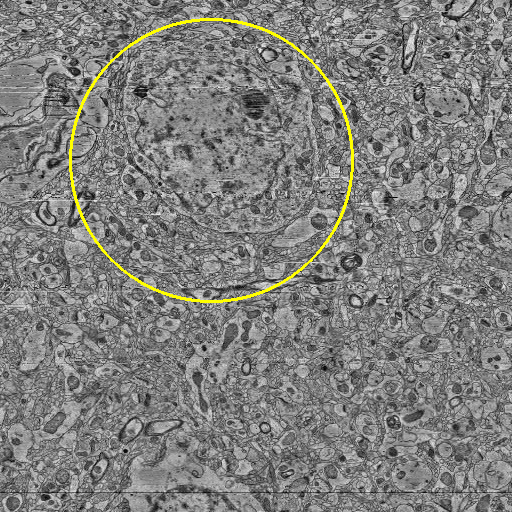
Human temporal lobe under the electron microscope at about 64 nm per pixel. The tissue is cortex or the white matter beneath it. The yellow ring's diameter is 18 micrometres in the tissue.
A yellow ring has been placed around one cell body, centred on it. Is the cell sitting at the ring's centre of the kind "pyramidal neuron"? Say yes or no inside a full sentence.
No, the cell at the centre of the yellow ring belongs to a different kind.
